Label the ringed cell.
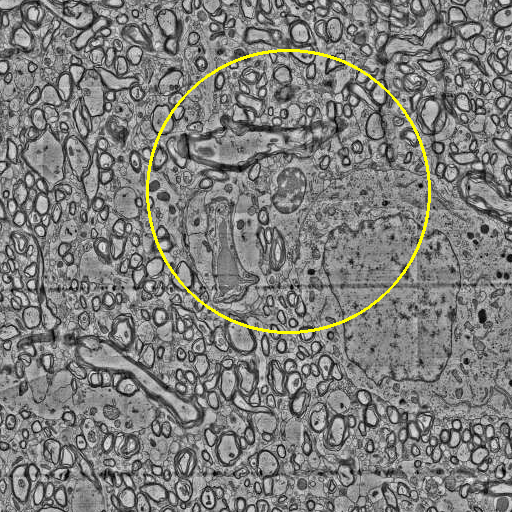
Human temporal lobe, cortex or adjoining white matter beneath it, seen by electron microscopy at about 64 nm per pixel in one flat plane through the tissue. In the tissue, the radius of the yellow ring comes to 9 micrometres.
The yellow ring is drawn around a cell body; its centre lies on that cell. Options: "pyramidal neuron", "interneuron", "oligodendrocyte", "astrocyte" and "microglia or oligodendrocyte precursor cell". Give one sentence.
The ringed cell is a microglial cell or oligodendrocyte precursor cell.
